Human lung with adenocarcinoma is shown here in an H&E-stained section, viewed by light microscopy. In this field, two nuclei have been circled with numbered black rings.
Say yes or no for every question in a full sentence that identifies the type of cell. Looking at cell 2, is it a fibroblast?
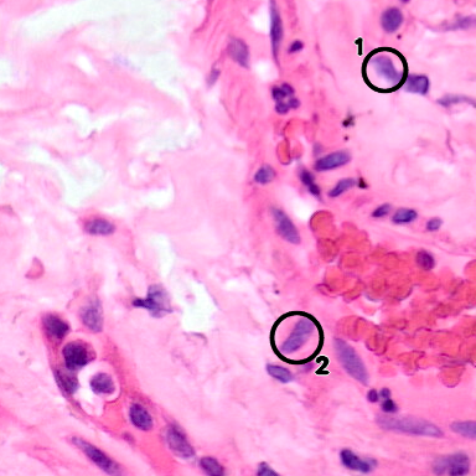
No, the cell referred to as 2 is a smooth muscle cell or pericyte, not a fibroblast.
